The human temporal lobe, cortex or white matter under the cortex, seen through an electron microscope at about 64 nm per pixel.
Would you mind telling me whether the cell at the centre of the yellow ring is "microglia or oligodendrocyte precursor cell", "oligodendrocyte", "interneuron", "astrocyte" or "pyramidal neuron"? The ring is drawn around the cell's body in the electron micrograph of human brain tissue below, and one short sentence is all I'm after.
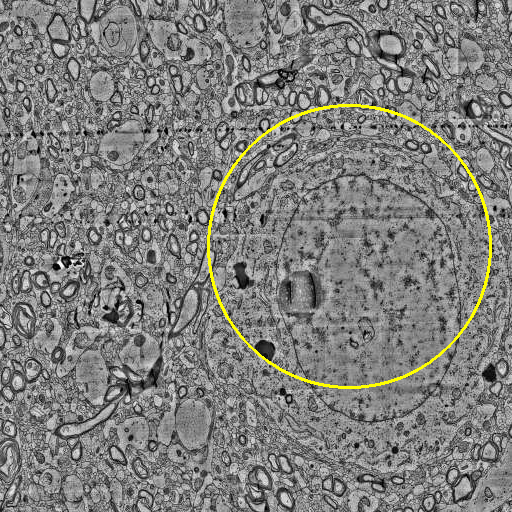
In the centre of the ring lies a pyramidal neuron.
